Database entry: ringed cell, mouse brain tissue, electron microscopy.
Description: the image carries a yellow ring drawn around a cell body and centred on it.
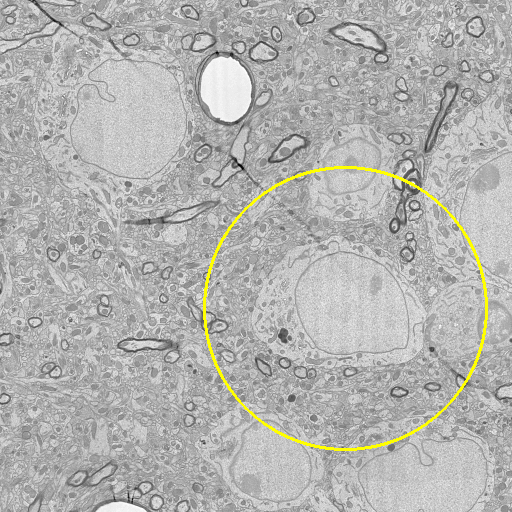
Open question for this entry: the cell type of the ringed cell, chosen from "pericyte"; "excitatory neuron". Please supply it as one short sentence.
The ringed cell is an excitatory neuron.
